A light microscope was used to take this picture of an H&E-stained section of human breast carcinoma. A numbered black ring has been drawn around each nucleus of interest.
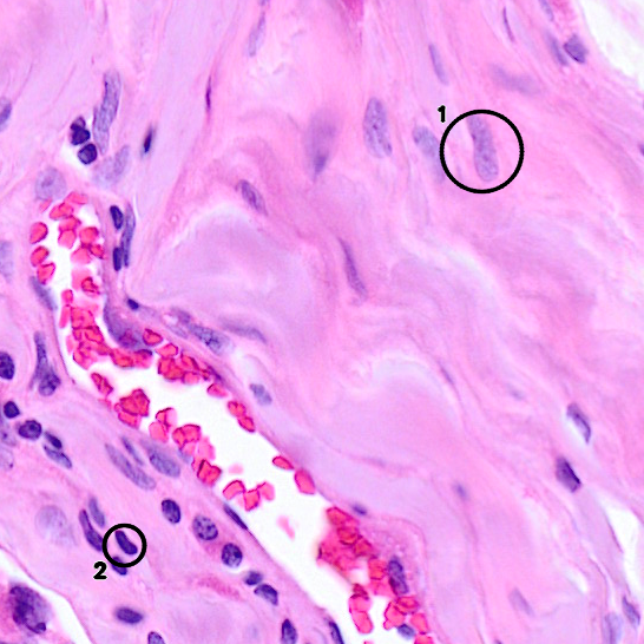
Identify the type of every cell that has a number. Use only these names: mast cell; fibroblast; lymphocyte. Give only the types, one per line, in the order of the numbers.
fibroblast
lymphocyte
